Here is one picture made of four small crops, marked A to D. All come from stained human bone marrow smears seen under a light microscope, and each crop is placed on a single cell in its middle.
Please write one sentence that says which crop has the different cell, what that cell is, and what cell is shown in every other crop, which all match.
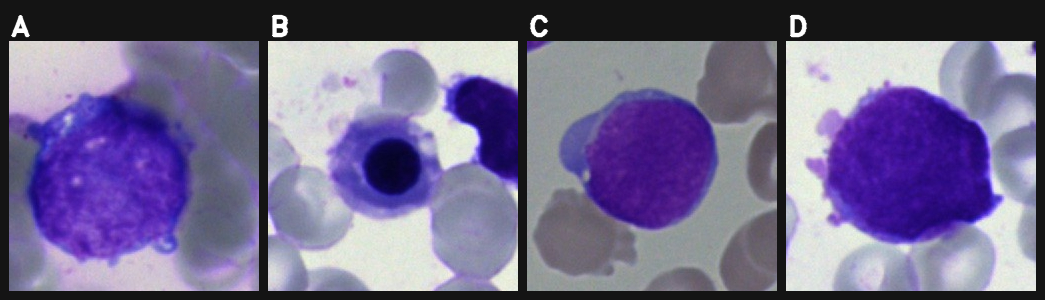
The different crop is crop B, a normoblast; all the others show blasts.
